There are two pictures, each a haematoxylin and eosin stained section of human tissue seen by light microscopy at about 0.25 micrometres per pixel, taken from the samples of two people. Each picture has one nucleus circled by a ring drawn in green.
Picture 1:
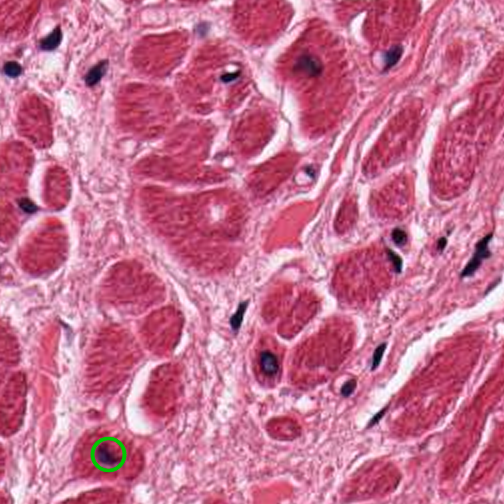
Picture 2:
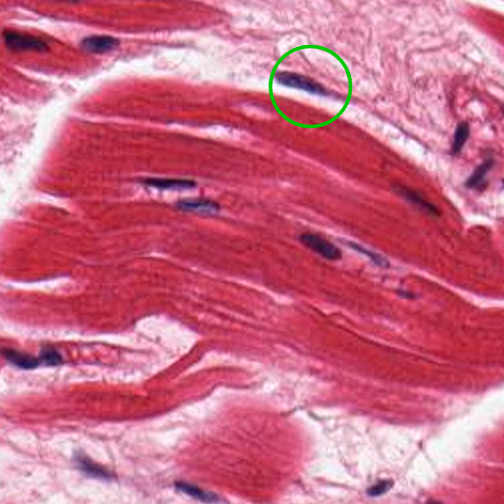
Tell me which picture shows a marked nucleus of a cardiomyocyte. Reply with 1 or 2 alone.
1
